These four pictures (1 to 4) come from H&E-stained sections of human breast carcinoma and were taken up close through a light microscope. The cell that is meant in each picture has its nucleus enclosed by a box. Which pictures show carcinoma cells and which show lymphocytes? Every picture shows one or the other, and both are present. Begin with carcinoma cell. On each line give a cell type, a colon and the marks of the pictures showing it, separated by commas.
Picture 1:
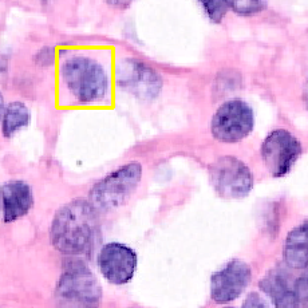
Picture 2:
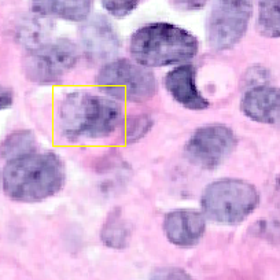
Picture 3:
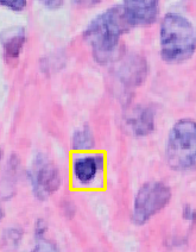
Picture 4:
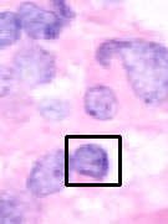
carcinoma cell: 1, 2, 4
lymphocyte: 3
